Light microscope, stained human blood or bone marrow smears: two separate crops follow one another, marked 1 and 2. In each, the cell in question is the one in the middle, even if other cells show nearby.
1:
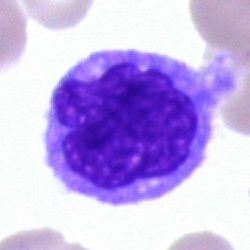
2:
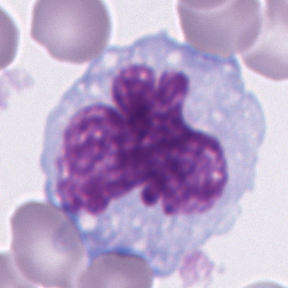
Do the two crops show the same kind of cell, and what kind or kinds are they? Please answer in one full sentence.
Yes, as an answer for this item, both crops show monocytes.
